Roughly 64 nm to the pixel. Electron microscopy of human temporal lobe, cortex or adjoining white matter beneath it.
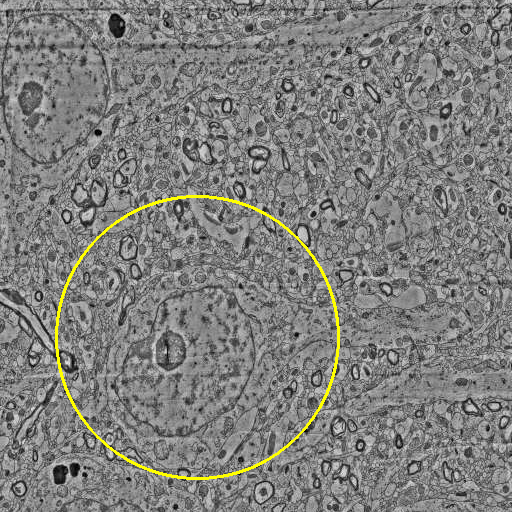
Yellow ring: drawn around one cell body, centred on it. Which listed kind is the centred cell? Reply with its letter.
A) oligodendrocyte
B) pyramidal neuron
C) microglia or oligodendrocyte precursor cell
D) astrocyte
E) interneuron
B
